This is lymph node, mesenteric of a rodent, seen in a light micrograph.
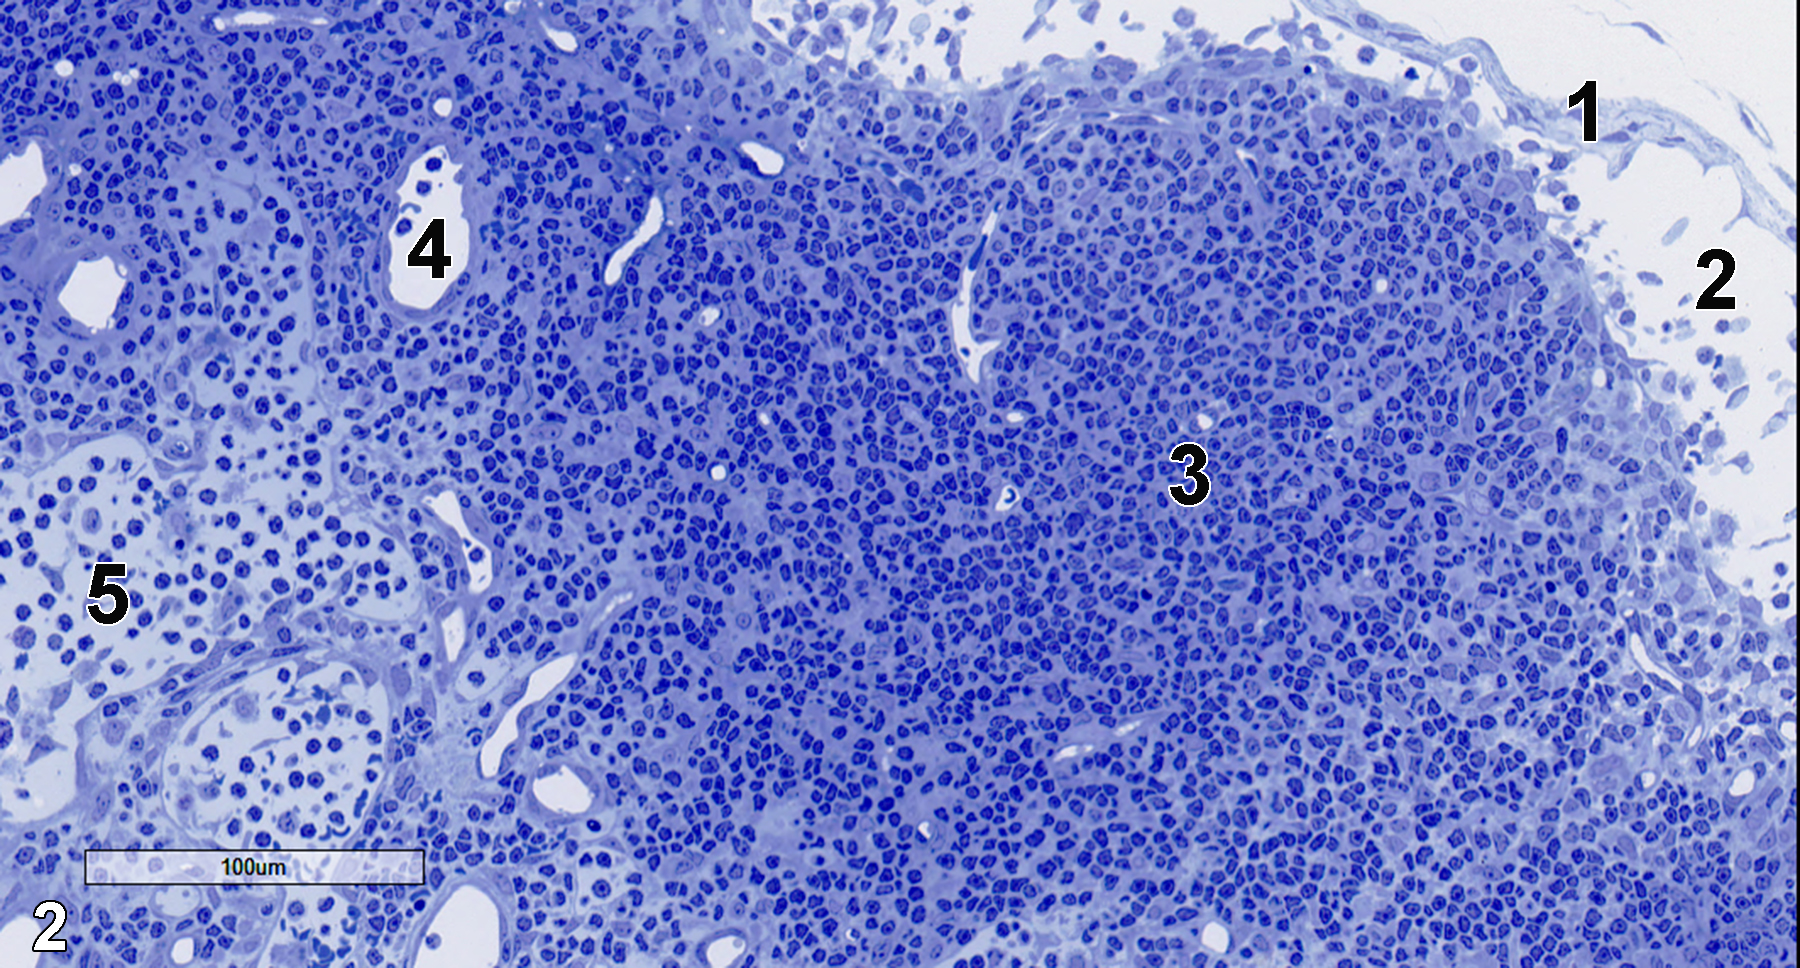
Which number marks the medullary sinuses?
The medullary sinuses: 5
